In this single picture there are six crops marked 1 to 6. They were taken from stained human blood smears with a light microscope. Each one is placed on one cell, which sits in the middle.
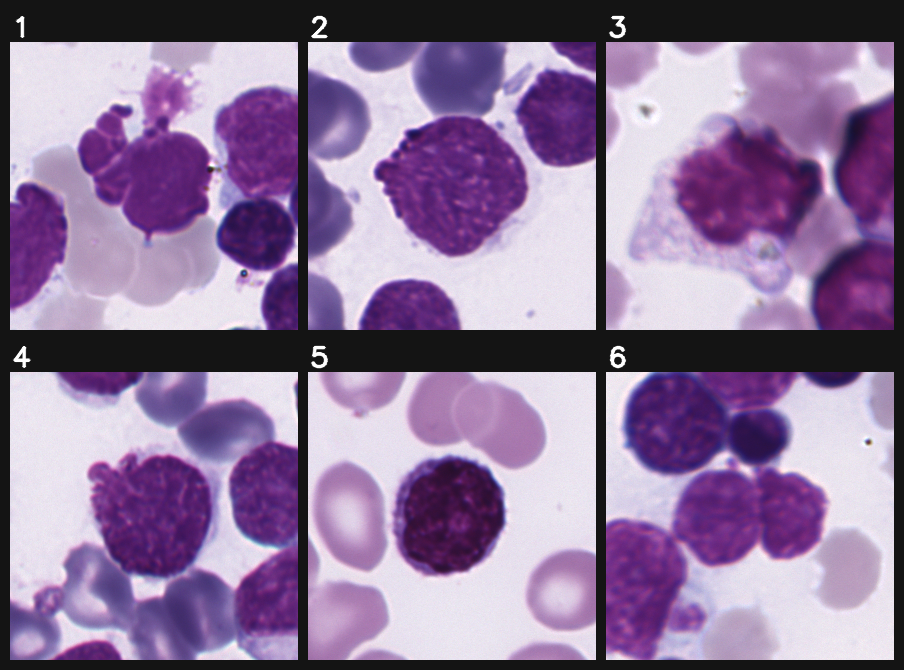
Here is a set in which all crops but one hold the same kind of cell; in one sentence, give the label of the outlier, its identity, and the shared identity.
The pattern of myeloblasts across the crops is broken only by crop 5, which shows a typical lymphocyte.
